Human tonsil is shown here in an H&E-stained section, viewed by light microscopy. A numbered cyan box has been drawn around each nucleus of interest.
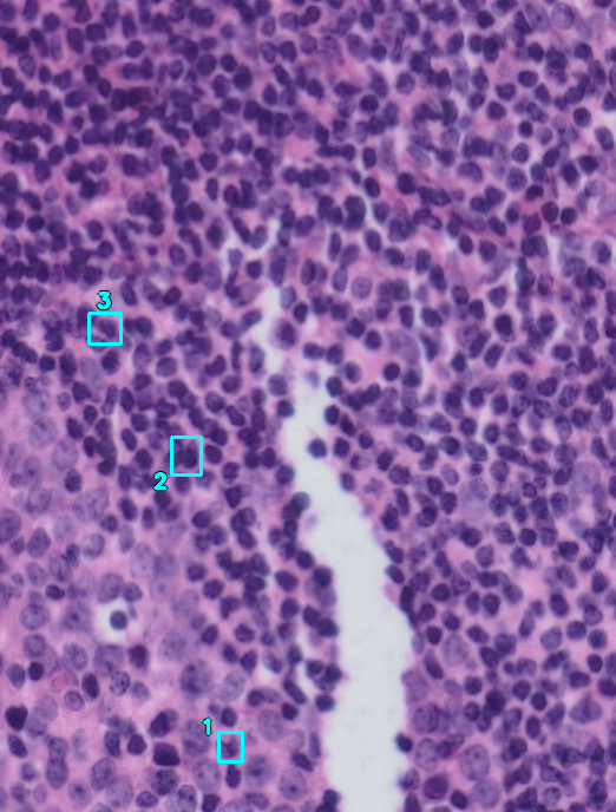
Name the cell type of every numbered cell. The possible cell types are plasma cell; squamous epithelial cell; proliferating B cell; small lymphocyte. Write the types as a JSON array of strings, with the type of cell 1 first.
["proliferating B cell", "small lymphocyte", "small lymphocyte"]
